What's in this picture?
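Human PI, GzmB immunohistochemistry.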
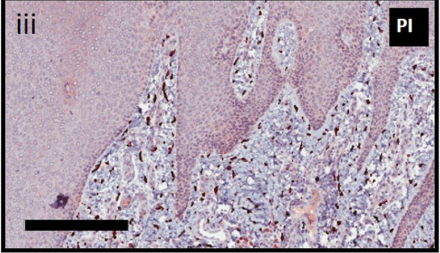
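This is skin with a thickened epidermis whose long rete ridges interlock with narrow, tall dermal papillae. The epidermis is a pale, evenly layered sheet of keratinocytes, while the papillae and the dermis below are loose connective tissue. Scattered throughout the papillae and upper dermis are many small, elongated or rounded cells stained dark brown. The epithelium itself is almost free of these brown cells.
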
